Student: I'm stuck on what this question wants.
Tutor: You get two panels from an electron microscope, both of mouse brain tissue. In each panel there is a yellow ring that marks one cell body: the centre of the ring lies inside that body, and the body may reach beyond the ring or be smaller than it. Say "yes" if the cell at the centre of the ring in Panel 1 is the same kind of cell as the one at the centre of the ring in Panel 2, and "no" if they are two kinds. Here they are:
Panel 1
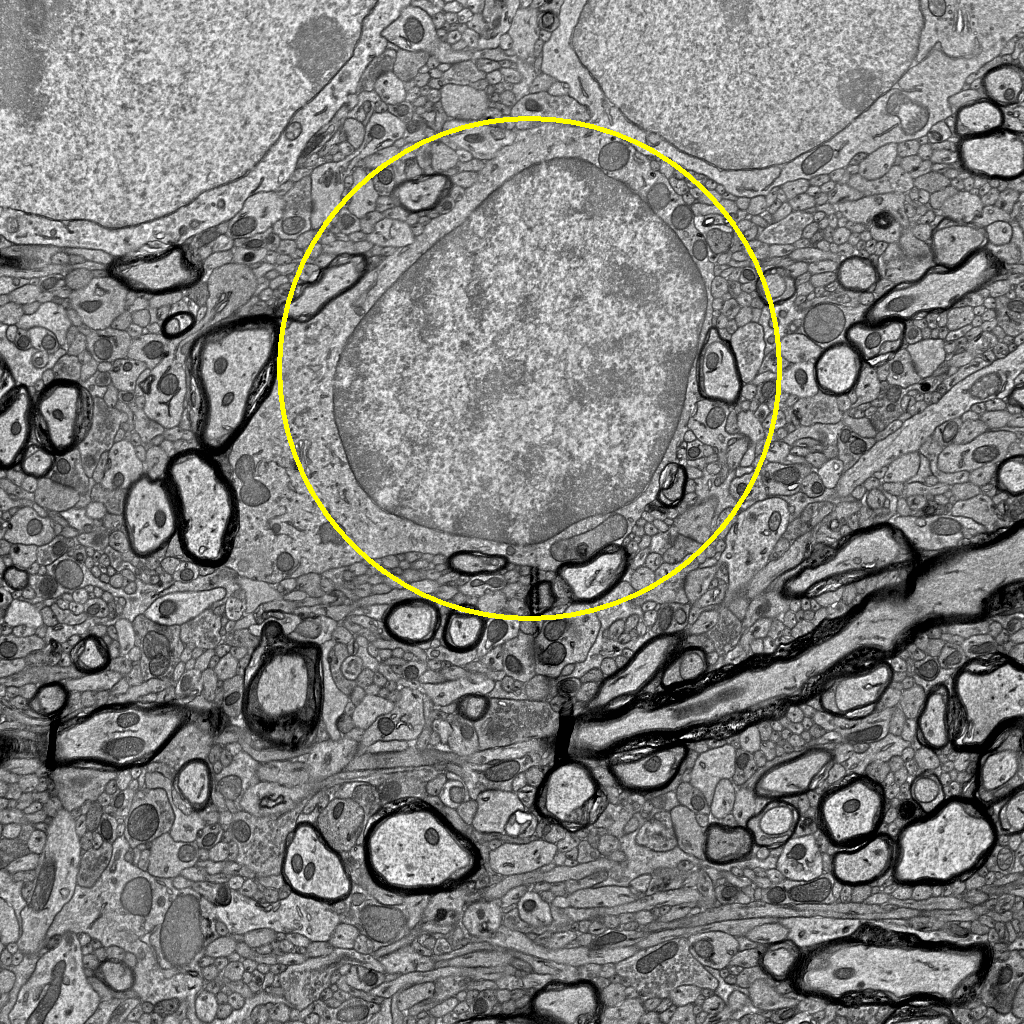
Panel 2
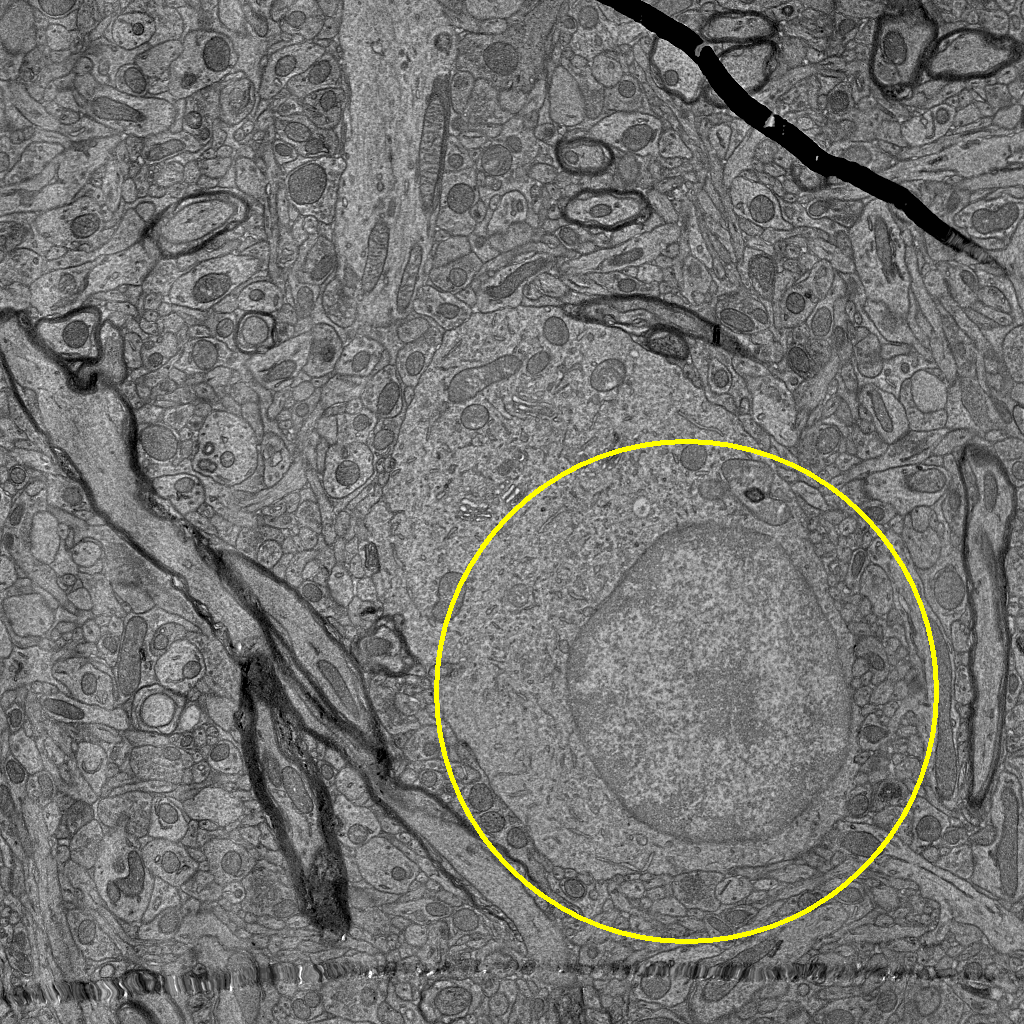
yes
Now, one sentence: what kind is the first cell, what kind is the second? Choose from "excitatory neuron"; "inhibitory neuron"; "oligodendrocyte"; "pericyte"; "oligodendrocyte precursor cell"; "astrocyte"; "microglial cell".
Each cell, in the first picture and the second, is an oligodendrocyte.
